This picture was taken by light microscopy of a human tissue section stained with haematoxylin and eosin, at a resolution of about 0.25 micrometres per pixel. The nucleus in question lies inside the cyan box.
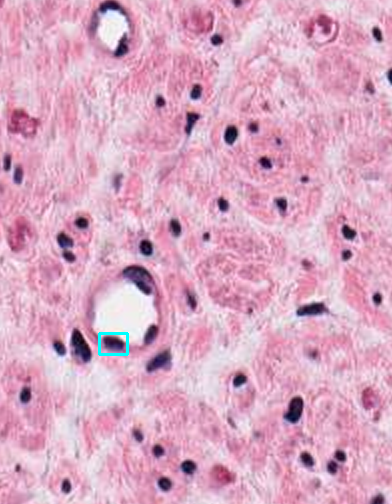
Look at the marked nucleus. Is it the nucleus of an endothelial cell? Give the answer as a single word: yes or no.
yes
